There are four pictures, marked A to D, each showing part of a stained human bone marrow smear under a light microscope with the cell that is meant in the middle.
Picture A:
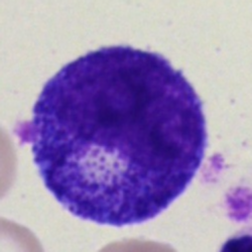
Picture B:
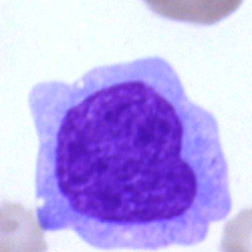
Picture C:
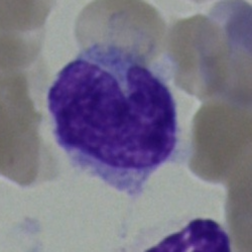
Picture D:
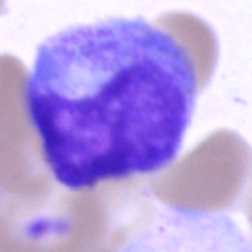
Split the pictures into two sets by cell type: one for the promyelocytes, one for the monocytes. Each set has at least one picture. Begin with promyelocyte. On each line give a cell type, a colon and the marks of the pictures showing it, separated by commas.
promyelocyte: A, D
monocyte: B, C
